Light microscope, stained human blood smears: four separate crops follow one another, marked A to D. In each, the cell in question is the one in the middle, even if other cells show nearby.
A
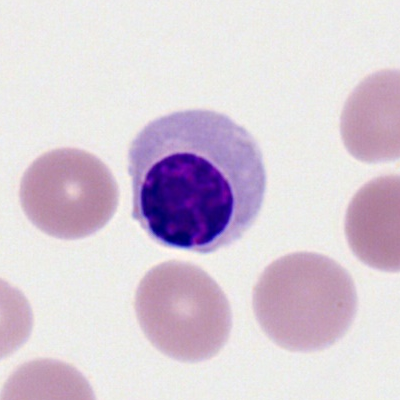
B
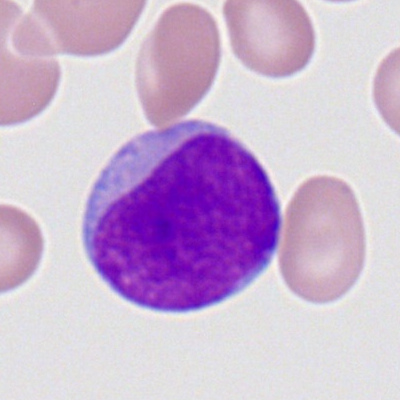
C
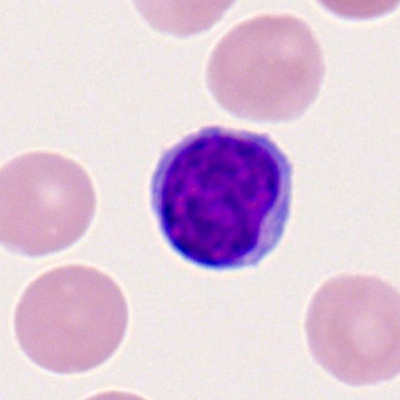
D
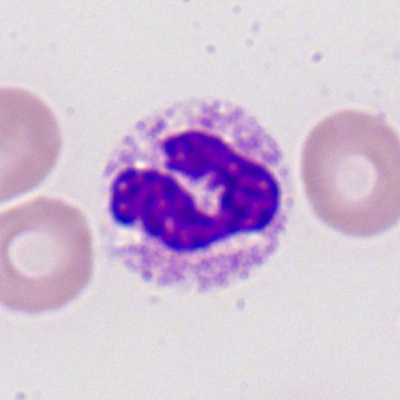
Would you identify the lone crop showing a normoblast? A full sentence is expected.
Here the crop that shows a normoblast is crop A.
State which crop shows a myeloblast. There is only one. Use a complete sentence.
Of the crops given, a myeloblast is found in crop B.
